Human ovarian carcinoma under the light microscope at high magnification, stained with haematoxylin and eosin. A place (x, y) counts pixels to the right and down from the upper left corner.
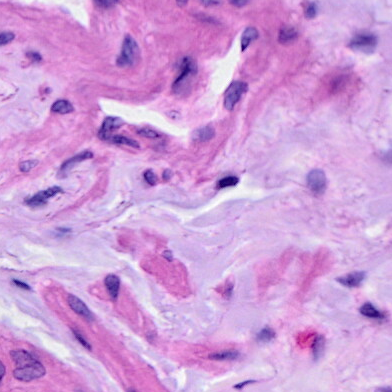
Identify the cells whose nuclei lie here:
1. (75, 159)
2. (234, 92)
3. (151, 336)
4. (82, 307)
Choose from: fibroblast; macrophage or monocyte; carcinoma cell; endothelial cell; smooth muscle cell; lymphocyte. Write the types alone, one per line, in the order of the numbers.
fibroblast
endothelial cell
smooth muscle cell
smooth muscle cell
